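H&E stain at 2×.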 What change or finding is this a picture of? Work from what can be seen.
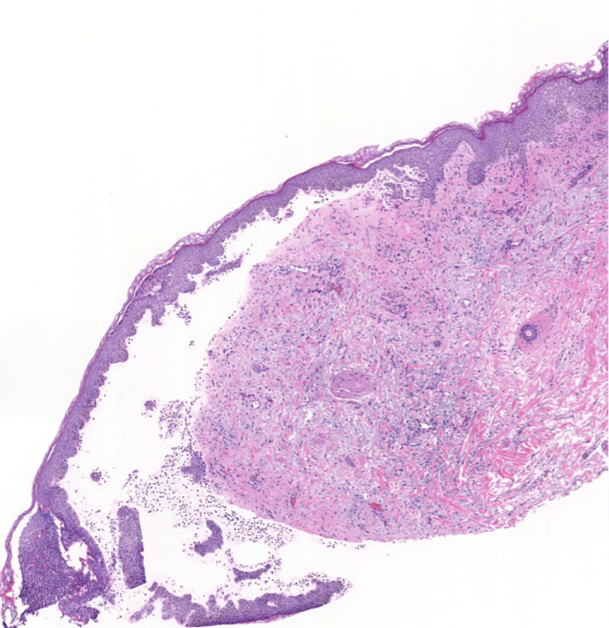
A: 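The epidermis is lifted off the dermis as a thin roof. A large clear space lies between the epidermis and the dermis. Scattered cells lie within the space. That points to this answer: Subepidermal blister.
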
